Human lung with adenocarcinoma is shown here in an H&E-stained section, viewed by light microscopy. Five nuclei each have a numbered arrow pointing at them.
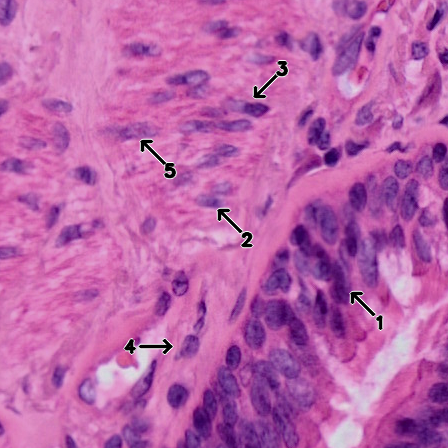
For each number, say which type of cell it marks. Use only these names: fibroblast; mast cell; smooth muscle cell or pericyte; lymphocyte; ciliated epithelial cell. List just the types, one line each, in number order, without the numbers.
ciliated epithelial cell
smooth muscle cell or pericyte
smooth muscle cell or pericyte
fibroblast
smooth muscle cell or pericyte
